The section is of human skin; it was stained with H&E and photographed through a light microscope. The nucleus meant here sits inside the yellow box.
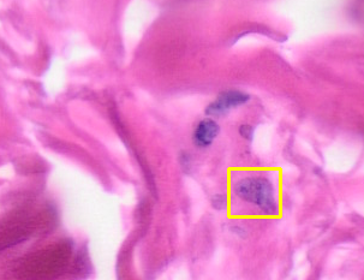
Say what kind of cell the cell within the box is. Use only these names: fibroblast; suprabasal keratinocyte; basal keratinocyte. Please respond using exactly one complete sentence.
At the level of cell identity, the cell within the box is a fibroblast.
